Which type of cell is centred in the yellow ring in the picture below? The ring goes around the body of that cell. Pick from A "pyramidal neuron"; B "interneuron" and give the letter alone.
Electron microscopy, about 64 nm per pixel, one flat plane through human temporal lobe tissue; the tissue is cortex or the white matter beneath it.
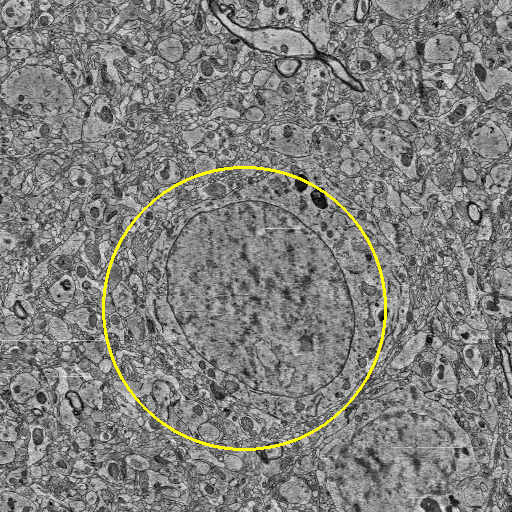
A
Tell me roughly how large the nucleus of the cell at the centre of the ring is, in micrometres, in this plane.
The nucleus appears roughly 14 by 11 micrometres in this plane.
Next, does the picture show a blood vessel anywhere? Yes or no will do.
No, a blood vessel is absent from this picture.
